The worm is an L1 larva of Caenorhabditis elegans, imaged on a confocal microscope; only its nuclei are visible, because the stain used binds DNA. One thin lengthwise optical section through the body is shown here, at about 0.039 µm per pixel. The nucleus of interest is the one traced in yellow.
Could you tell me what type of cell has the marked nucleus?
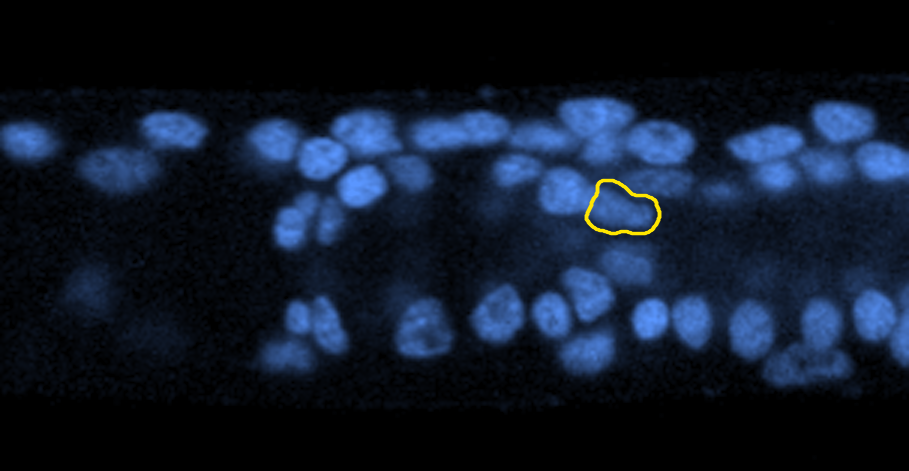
pharyngeal marginal cell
